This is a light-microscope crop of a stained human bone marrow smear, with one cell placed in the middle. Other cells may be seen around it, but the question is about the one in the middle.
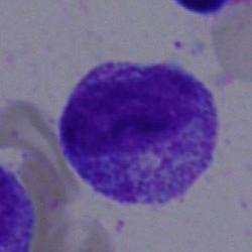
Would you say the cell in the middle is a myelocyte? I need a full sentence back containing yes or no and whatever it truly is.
Yes, the cell shown centrally is a myelocyte.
